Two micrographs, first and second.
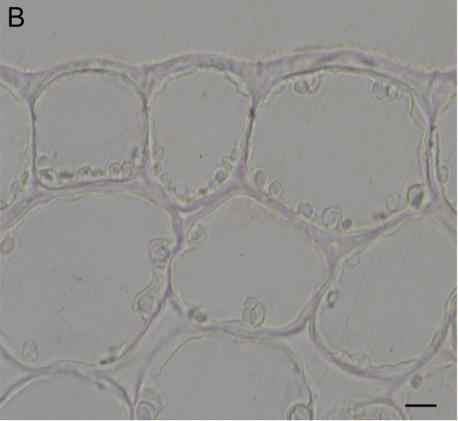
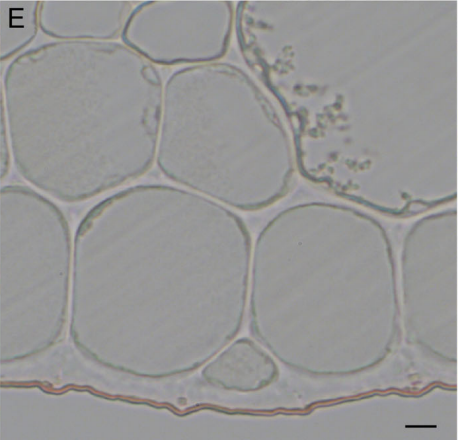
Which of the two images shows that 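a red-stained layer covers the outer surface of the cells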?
The second image.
